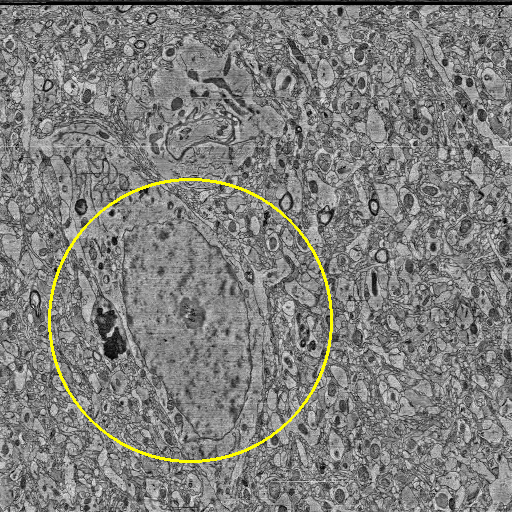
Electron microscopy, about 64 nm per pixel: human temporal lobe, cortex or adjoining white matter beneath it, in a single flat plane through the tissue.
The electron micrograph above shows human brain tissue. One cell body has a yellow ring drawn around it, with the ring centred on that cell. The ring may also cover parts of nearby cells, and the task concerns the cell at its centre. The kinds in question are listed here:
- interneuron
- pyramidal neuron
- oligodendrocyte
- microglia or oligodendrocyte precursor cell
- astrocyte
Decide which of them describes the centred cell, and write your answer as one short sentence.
The centred cell is an interneuron.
